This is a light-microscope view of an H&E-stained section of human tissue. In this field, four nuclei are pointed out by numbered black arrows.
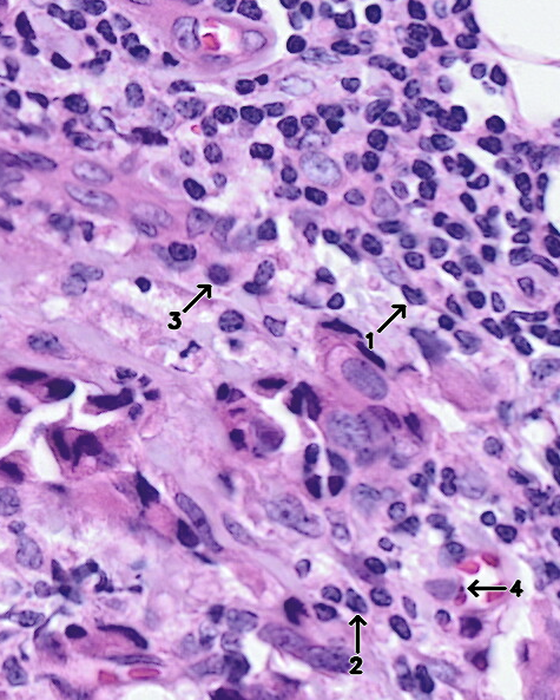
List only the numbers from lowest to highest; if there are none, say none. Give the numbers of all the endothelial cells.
4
